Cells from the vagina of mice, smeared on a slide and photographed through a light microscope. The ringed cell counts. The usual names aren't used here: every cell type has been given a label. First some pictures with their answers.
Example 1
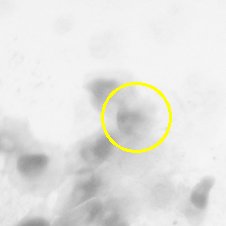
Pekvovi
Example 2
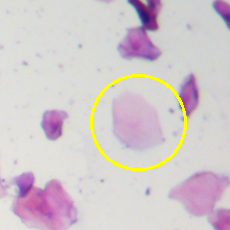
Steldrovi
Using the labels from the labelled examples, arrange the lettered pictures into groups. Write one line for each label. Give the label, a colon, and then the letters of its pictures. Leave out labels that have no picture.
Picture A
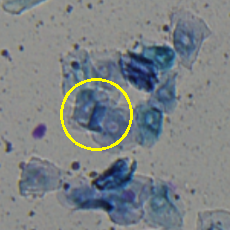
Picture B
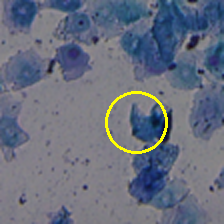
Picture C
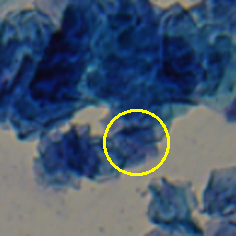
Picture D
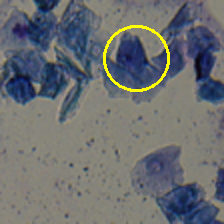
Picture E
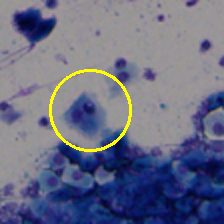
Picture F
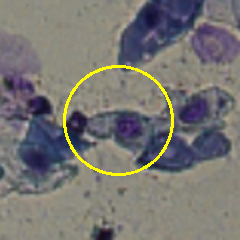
Pekvovi: E, F
Steldrovi: A, B, C, D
